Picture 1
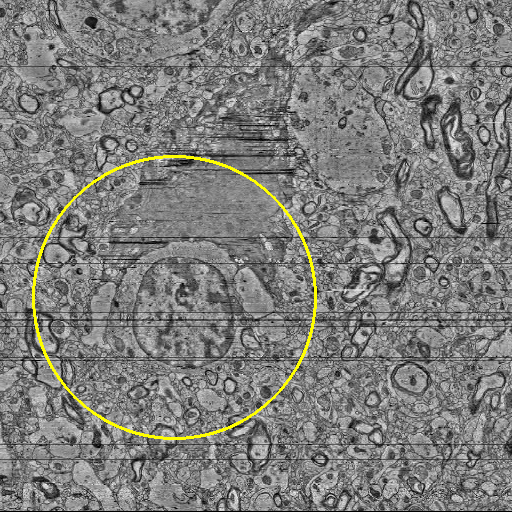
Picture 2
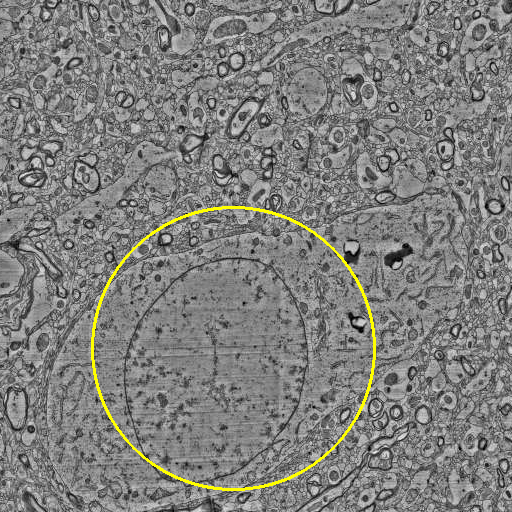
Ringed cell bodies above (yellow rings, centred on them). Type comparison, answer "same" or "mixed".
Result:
mixed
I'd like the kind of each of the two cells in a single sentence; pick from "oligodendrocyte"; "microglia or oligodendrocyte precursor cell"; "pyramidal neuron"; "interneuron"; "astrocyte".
The first ring marks an oligodendrocyte, and the second ring marks a pyramidal neuron.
